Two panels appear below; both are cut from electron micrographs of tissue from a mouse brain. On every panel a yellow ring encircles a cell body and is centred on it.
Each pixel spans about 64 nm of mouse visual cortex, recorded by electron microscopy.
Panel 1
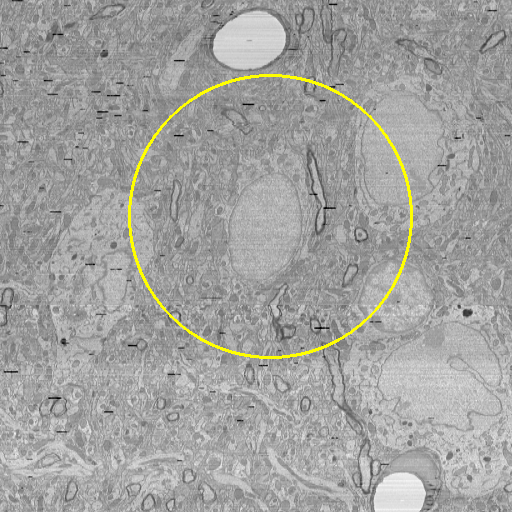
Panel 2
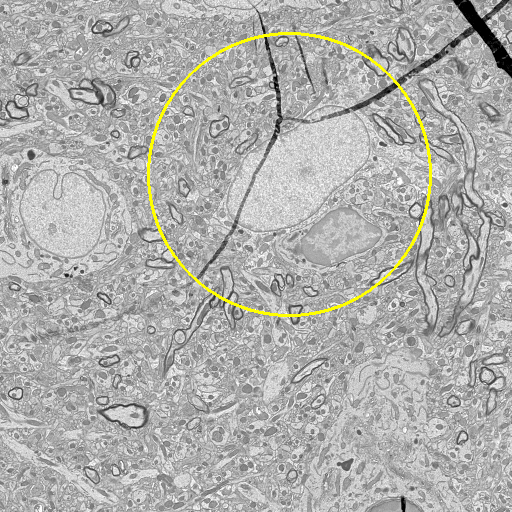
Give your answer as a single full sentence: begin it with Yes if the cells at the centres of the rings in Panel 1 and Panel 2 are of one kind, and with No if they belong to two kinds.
Yes, the cells in the middle of the rings in Panels 1 and 2 are of one kind.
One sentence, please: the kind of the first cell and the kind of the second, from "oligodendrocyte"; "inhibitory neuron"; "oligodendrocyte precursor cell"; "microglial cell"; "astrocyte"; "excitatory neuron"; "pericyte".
Both the first and the second picture show an astrocyte in the ring.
